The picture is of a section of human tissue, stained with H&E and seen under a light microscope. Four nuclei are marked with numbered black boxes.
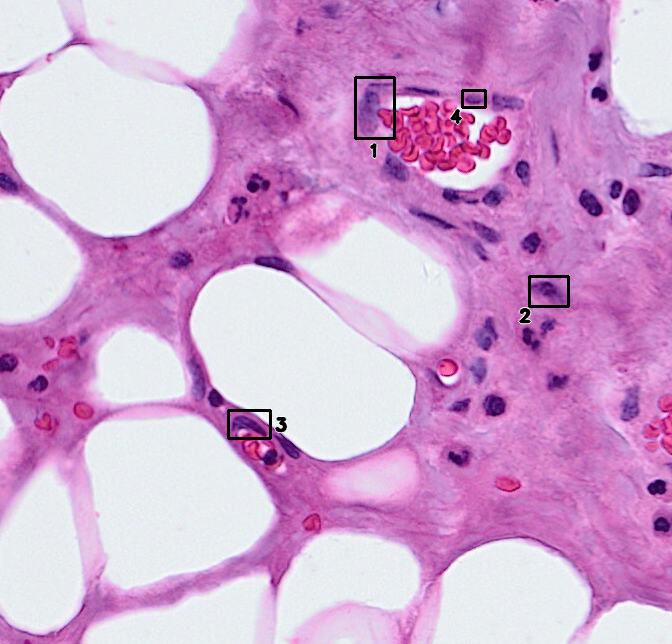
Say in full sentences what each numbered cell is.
Cells 1, 3 and 4 are endothelial cells. Cell 2 is a fibroblast.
